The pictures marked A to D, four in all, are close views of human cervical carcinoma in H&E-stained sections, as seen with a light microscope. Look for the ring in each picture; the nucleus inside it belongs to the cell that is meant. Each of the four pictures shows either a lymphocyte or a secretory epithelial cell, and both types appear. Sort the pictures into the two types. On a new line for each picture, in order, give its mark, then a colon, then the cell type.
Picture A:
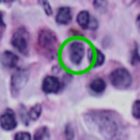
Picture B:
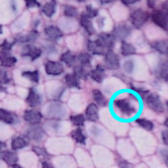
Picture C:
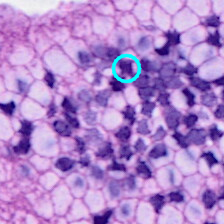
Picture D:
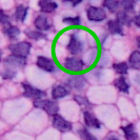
A: lymphocyte
B: secretory epithelial cell
C: secretory epithelial cell
D: secretory epithelial cell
